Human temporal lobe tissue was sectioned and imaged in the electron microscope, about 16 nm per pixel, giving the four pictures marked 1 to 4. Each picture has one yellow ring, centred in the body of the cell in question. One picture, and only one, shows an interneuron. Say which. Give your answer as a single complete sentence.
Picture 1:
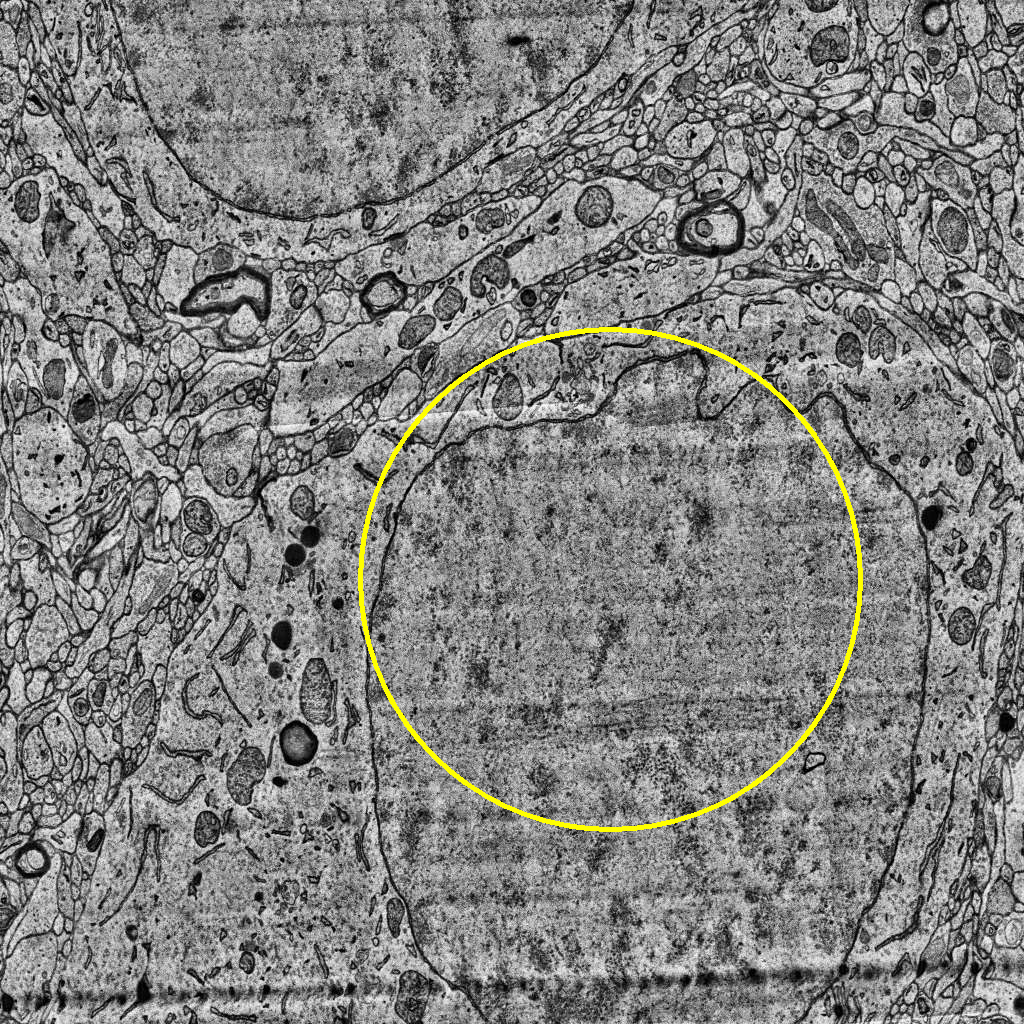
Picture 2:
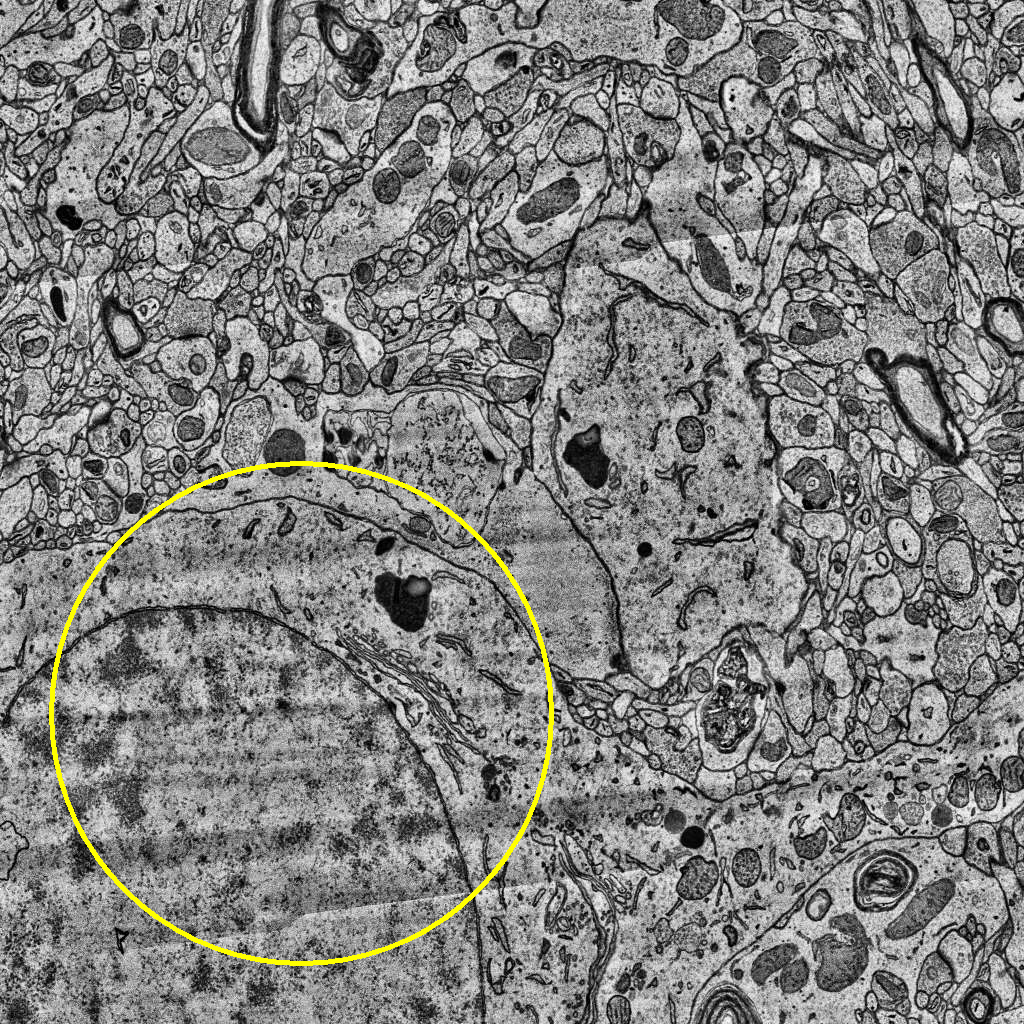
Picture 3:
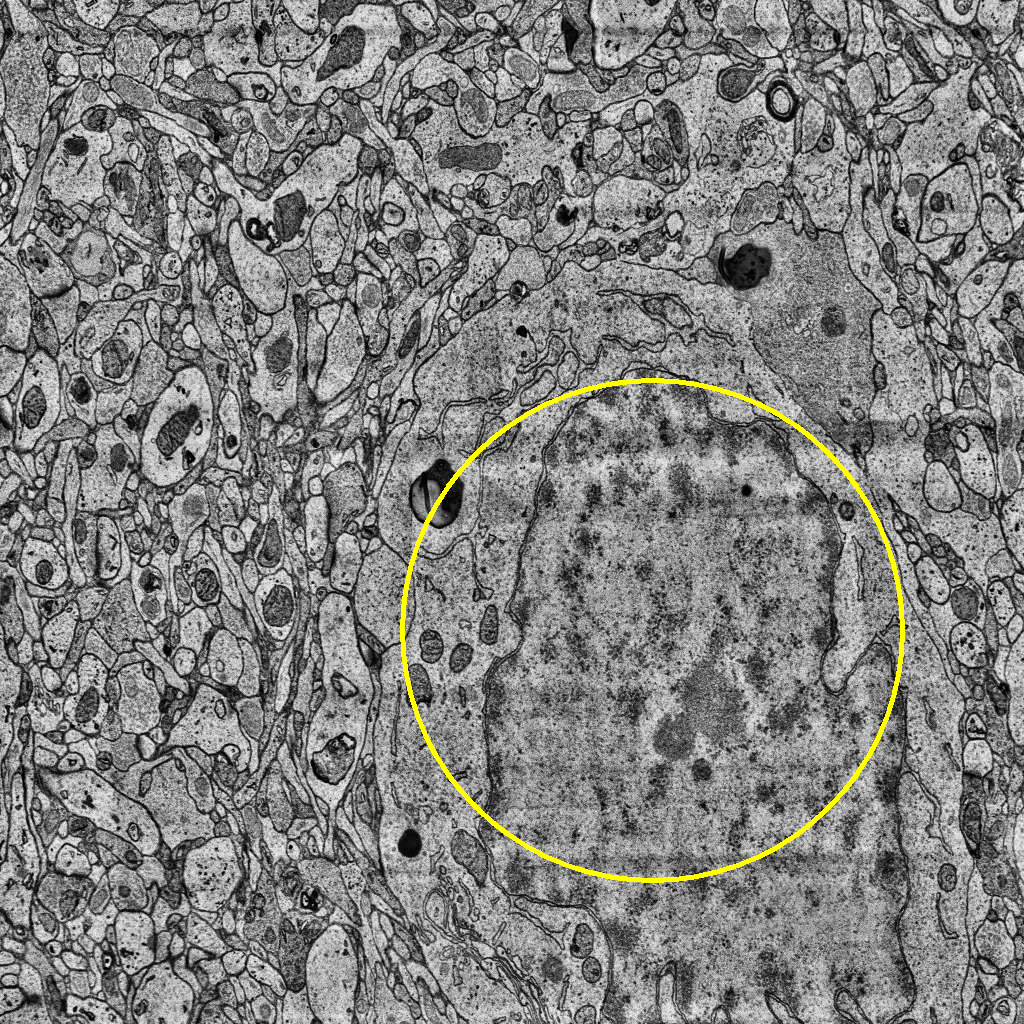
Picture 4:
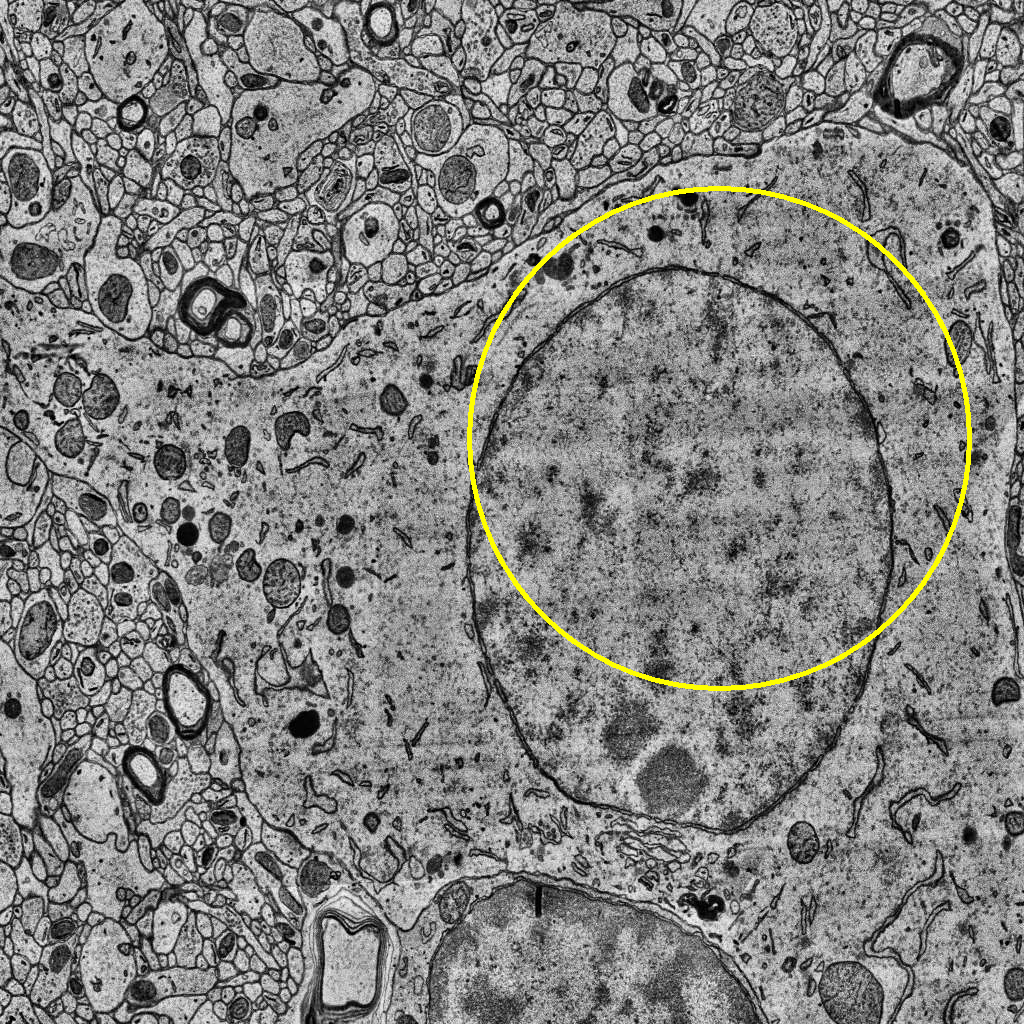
Picture 3 is the one that shows the interneuron.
